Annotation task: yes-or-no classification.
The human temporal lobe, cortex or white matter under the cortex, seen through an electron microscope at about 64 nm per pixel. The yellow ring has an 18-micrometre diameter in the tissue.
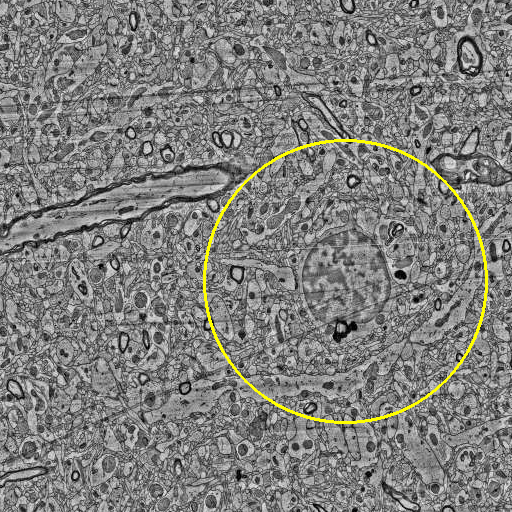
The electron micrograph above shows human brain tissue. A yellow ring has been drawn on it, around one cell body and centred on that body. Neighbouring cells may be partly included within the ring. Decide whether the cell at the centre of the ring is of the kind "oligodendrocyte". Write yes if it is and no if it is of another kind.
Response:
yes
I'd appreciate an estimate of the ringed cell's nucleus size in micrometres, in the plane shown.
In this plane, the nucleus of the cell at the centre of the ring is about 6 micrometres across.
